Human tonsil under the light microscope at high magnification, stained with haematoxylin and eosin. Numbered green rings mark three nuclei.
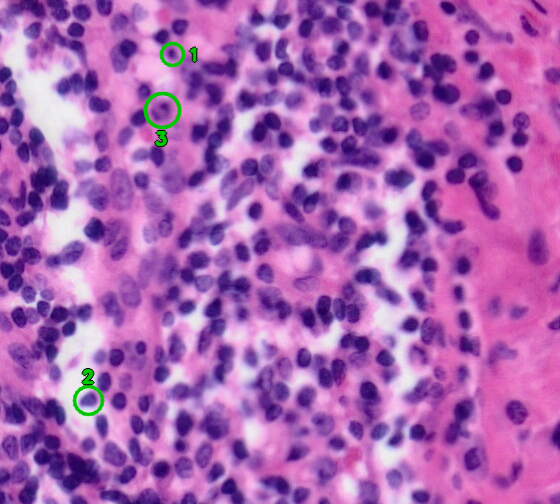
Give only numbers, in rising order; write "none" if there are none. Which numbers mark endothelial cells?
1, 3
